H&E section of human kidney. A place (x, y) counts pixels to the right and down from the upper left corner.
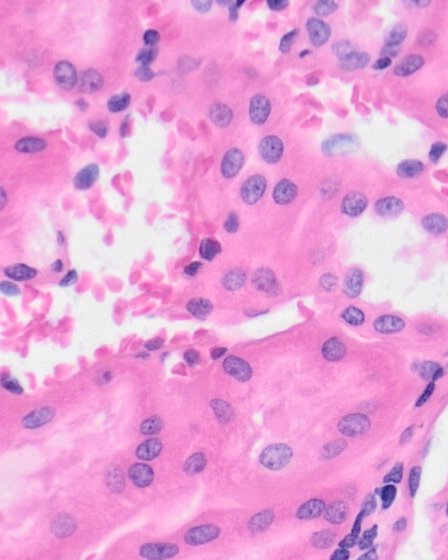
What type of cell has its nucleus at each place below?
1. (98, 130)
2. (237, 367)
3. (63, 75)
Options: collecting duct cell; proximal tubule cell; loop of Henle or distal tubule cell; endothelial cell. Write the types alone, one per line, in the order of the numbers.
endothelial cell
proximal tubule cell
proximal tubule cell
